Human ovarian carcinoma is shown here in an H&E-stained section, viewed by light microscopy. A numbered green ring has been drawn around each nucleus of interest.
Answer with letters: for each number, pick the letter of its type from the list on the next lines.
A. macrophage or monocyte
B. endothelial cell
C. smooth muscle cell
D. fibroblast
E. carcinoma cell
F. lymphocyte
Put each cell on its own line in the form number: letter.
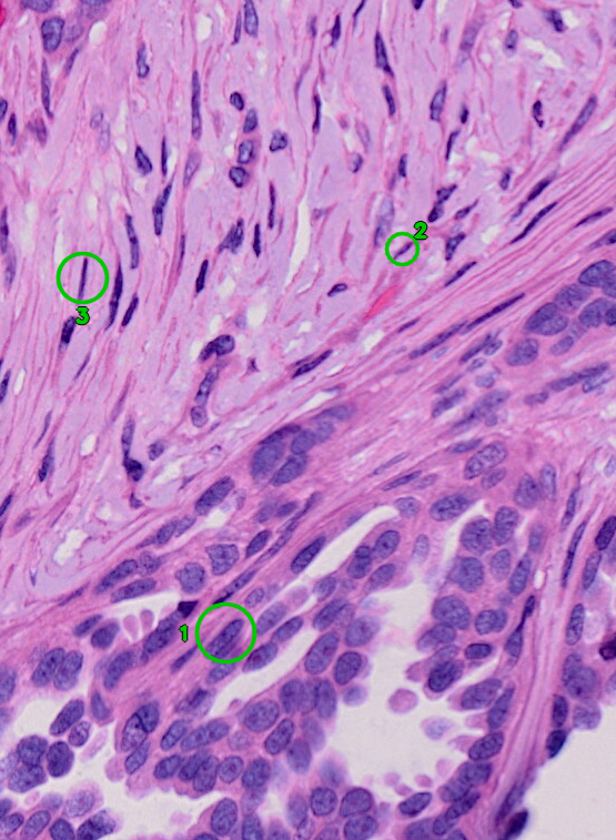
1: E
2: D
3: D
